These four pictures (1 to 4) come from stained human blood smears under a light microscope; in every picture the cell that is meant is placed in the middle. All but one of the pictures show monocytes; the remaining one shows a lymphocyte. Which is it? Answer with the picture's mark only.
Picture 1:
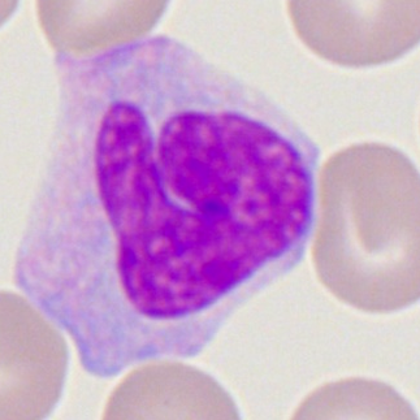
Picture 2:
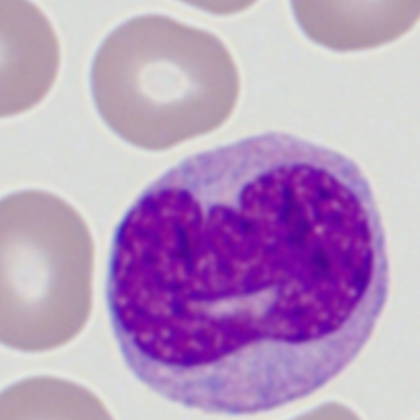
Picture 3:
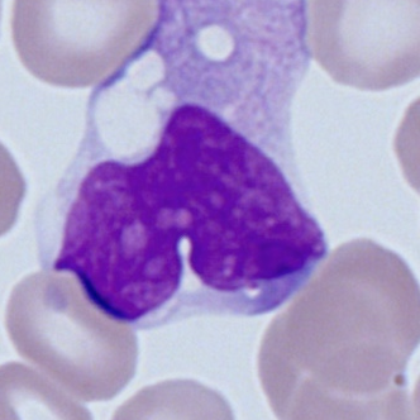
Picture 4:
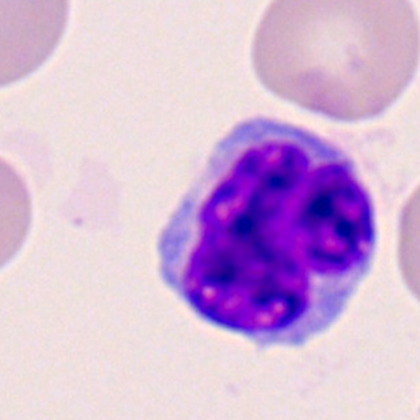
4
